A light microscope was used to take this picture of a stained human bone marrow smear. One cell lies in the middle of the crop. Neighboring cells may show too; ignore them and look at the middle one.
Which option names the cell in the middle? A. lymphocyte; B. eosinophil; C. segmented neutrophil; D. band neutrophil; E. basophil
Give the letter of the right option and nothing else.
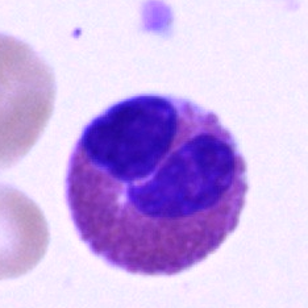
B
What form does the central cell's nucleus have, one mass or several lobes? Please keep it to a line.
Rather than a single mass, the nucleus forms two or more lobes.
